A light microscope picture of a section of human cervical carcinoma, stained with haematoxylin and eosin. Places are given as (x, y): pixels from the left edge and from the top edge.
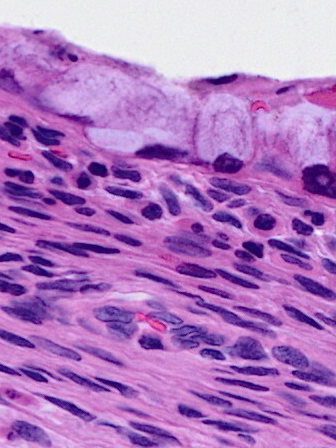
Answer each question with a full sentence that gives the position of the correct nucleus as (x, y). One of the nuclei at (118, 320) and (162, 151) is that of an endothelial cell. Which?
The nucleus at (118, 320) is attributed to an endothelial cell, unlike the other nucleus.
